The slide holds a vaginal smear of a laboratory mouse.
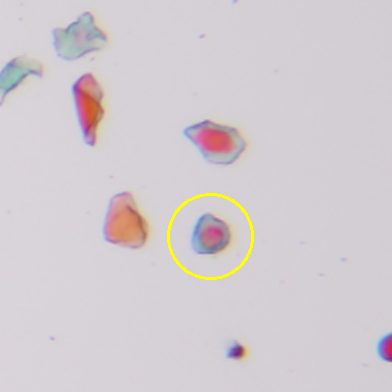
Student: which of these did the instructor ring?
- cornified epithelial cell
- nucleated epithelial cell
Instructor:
The cell I ringed is a nucleated epithelial cell.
